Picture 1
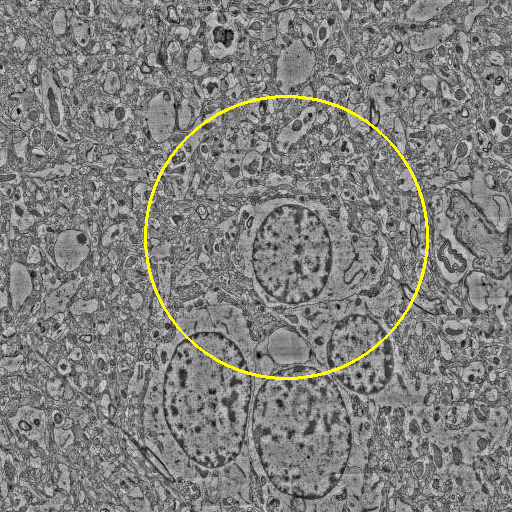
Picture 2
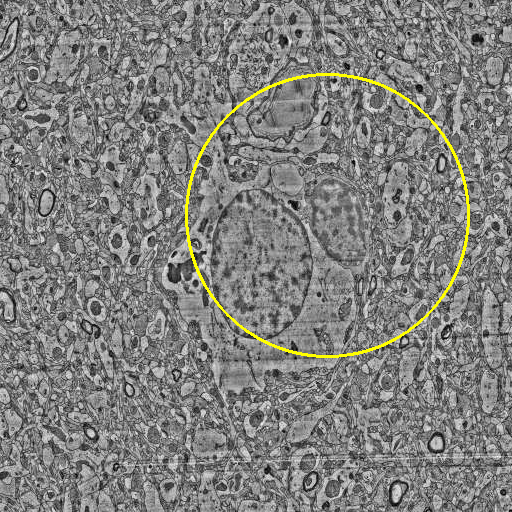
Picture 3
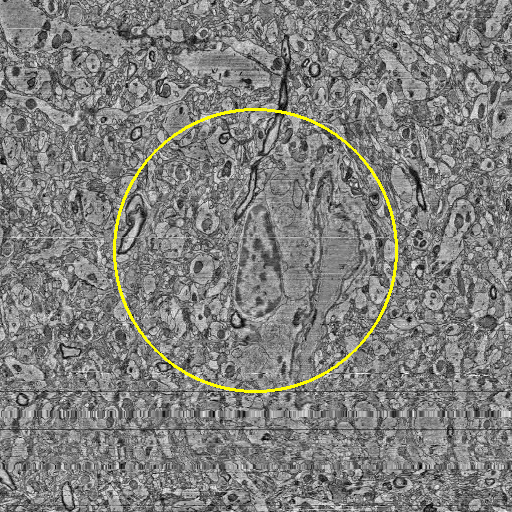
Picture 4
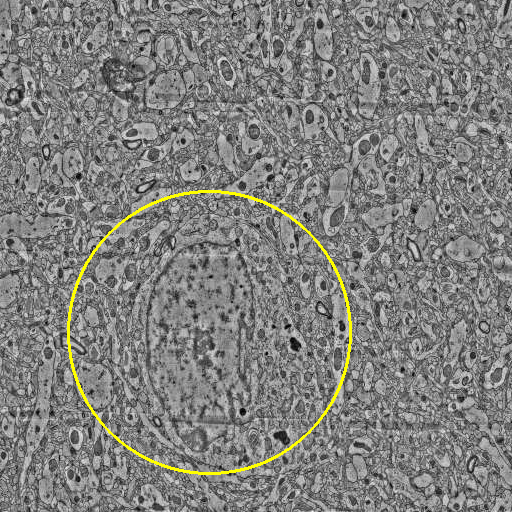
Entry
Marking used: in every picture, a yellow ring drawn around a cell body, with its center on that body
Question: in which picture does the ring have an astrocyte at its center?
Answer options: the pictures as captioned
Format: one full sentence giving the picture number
Picture 1 is where the ring's center falls on the requested cell.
